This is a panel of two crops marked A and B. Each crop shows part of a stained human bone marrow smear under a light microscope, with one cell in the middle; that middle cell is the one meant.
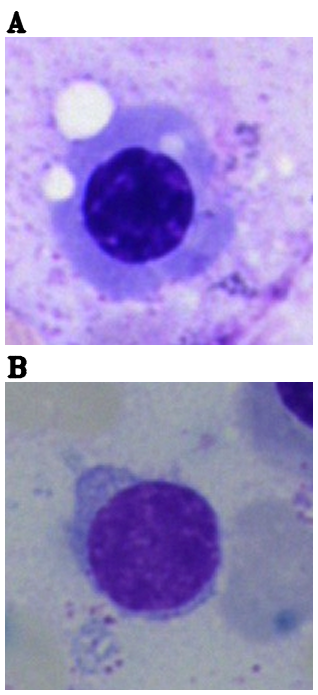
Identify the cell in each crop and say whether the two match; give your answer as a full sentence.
No, the cell in crop A is a normoblast, and the cell in crop B is a lymphocyte.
